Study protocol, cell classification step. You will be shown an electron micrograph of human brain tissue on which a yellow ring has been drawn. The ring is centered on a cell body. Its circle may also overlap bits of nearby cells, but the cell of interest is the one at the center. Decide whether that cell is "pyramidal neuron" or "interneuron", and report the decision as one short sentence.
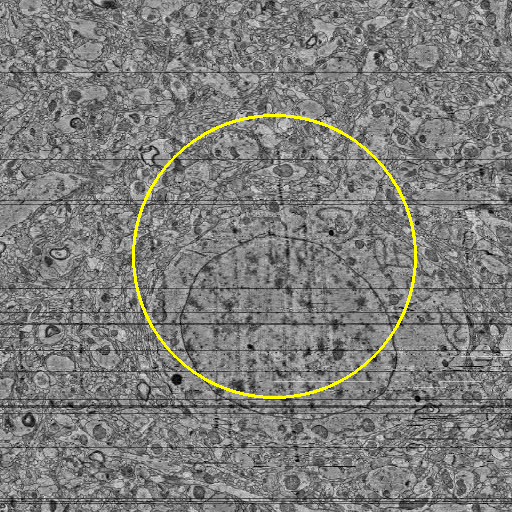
The marked cell is a pyramidal neuron.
